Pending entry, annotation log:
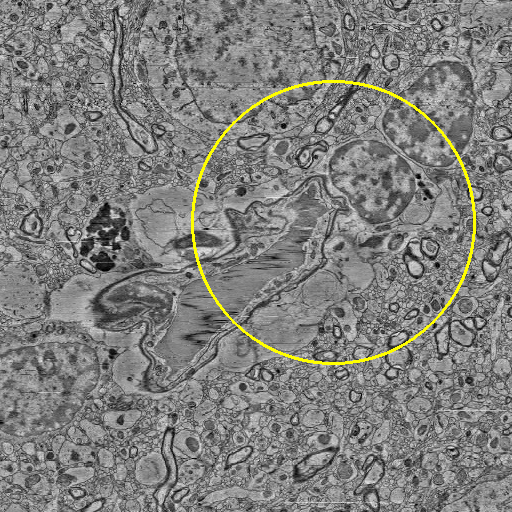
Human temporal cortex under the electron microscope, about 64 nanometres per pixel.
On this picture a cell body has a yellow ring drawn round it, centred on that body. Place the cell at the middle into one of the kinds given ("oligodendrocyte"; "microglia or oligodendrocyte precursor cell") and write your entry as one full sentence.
The cell body at the middle of the yellow ring belongs to a microglial cell or oligodendrocyte precursor cell.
